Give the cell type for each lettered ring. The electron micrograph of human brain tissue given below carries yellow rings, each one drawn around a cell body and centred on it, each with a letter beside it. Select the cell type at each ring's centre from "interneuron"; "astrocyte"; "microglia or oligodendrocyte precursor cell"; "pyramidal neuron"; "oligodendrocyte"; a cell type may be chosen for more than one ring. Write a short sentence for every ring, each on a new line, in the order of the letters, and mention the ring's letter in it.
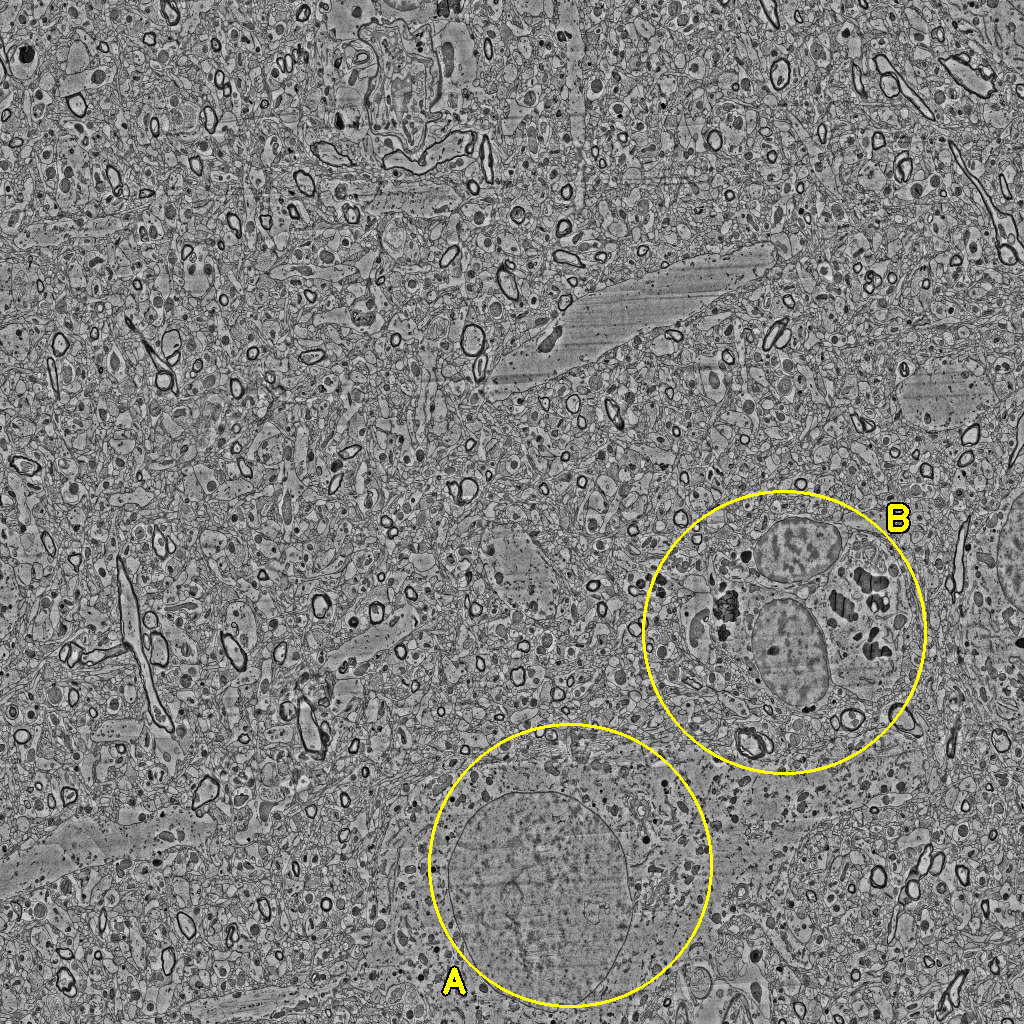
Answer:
The cell type for ring A is a pyramidal neuron.
The cell type for ring B is an oligodendrocyte.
